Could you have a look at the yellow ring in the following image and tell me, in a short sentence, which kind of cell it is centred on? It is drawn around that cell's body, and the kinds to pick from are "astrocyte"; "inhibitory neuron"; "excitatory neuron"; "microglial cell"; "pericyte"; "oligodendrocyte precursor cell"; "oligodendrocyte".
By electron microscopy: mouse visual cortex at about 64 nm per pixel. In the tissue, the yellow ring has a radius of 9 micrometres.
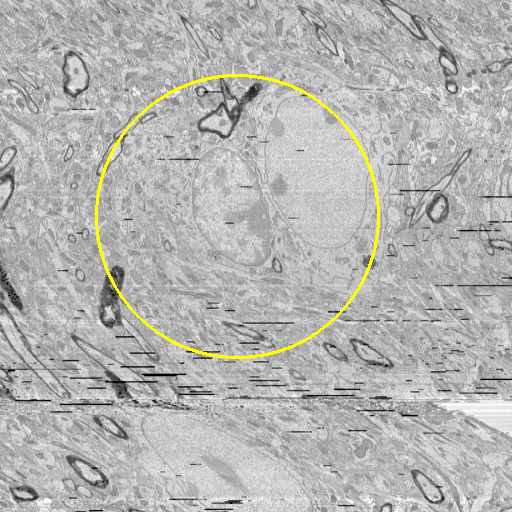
The ring is centred on the body of an oligodendrocyte.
